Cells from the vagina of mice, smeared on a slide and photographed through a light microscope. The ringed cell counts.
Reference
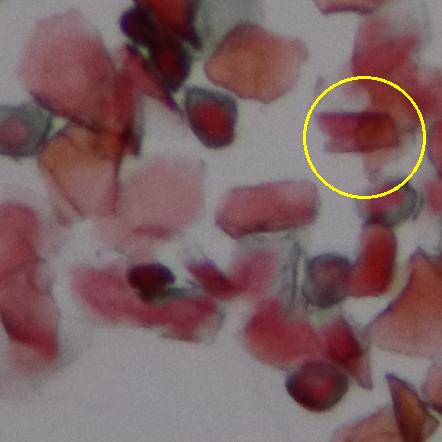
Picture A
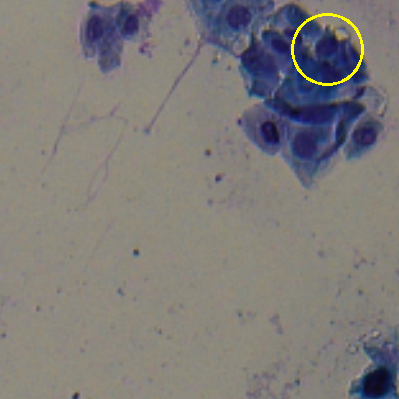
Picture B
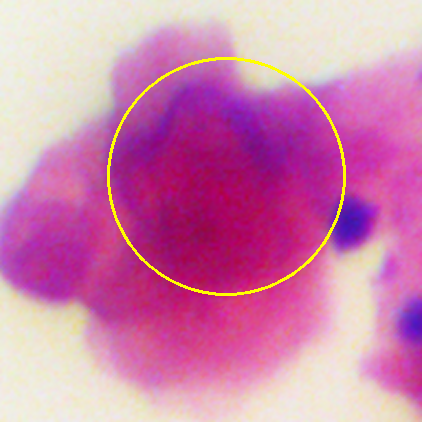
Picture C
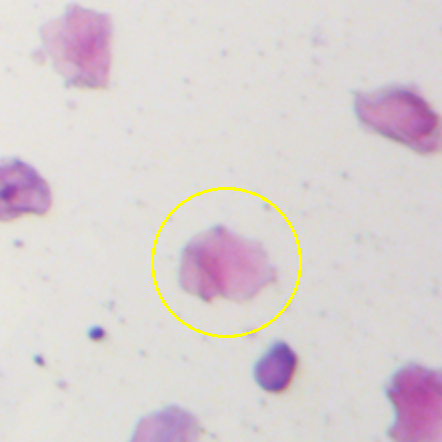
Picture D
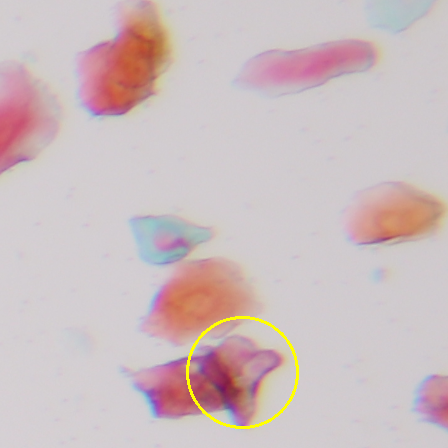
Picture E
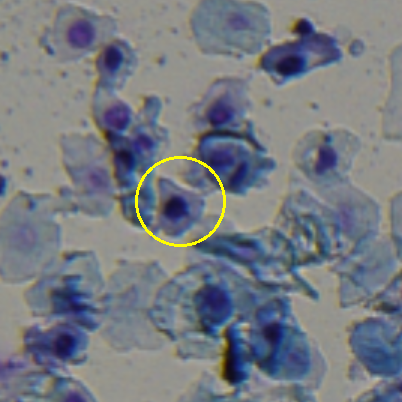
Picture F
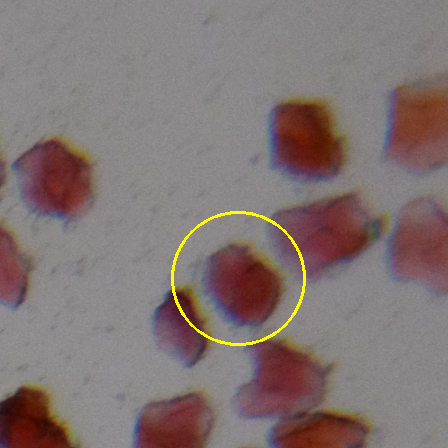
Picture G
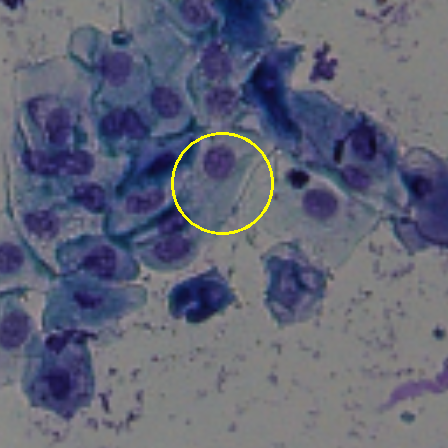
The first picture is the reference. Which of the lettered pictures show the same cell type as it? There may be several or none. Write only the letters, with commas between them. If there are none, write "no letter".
B, C, D, F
